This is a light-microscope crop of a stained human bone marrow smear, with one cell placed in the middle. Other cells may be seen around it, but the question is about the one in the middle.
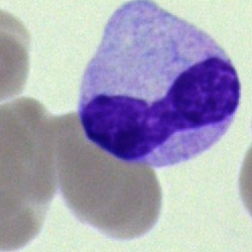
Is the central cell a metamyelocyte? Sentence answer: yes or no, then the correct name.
No, the cell in the middle of the crop counts as a band neutrophil and not as a metamyelocyte.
